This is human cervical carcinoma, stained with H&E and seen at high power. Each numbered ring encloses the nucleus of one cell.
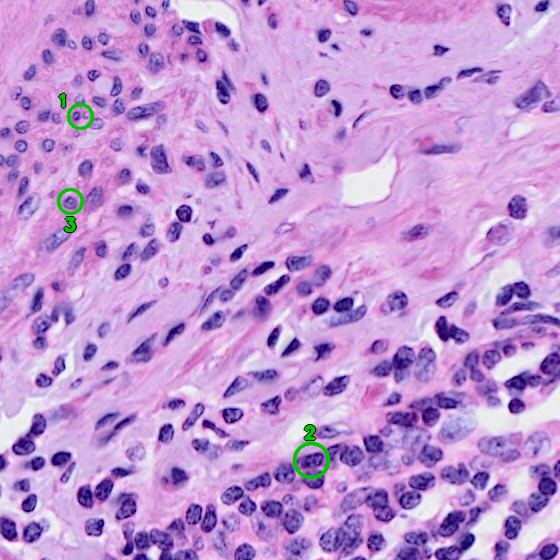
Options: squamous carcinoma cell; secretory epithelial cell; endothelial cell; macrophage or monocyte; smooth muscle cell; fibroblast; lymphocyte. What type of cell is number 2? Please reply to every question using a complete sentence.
Cell 2, among those numbered, is a lymphocyte.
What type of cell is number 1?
Recognised here as a smooth muscle cell is the cell numbered 1.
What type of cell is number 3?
The cell numbered 3 has been identified as a smooth muscle cell.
